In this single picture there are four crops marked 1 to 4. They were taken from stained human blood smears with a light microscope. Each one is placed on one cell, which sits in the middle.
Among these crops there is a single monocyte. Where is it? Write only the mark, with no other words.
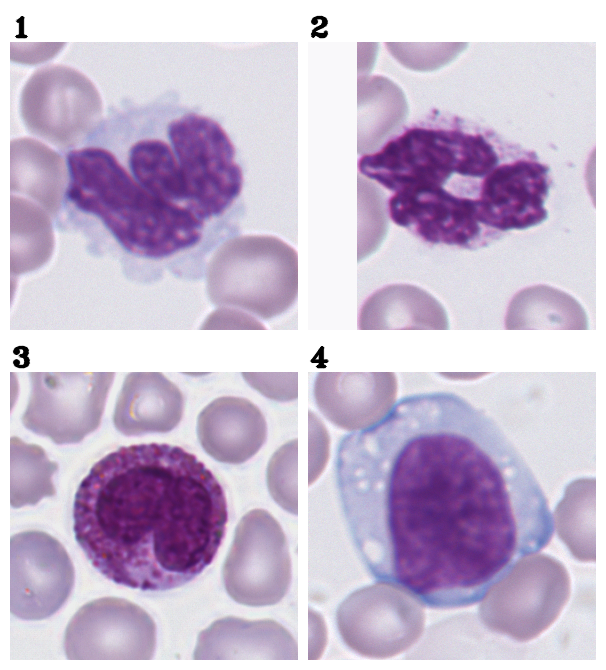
1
